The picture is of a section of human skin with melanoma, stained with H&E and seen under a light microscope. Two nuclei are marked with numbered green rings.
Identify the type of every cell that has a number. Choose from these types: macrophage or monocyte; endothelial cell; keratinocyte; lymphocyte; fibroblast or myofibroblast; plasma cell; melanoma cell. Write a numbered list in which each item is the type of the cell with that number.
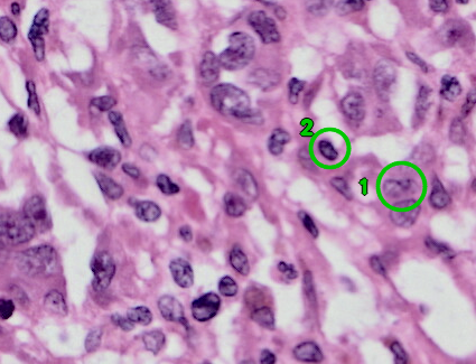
1. melanoma cell
2. lymphocyte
